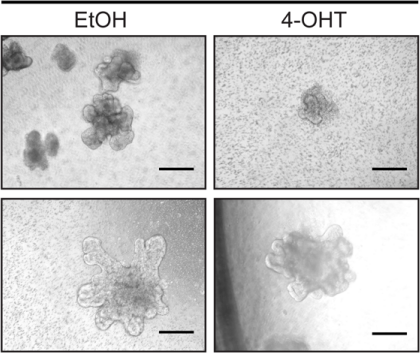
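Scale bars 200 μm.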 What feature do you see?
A: Intestinal organoids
